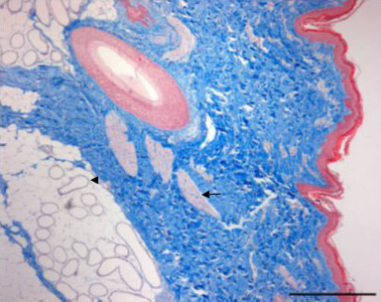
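This is a section of skin with a red-stained epidermis along the right edge and a blue-stained connective tissue dermis. In the upper part of the dermis lies a large oval structure with a thick pink wall around a pale central lumen. Several elongated pale-pink bundles, the arrector pili muscles, run obliquely through the dermis near it. Lower left, a large pale region contains many small tubular profiles, bordered by blue connective tissue. Pale fatty tissue appears at the upper left corner.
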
